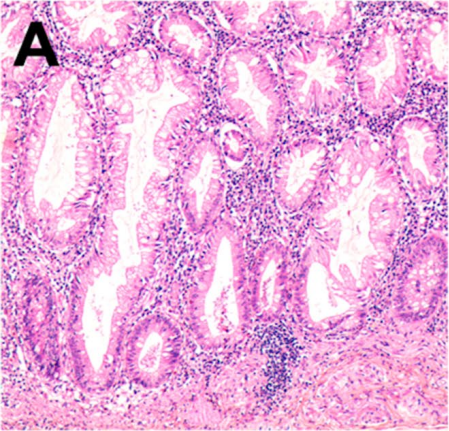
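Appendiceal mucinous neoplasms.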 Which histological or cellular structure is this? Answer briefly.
Serrated crypt profiles.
